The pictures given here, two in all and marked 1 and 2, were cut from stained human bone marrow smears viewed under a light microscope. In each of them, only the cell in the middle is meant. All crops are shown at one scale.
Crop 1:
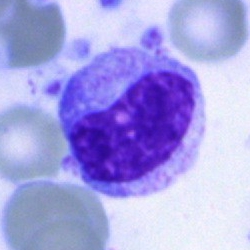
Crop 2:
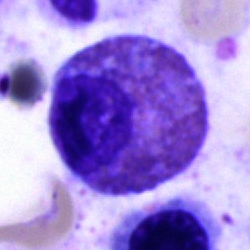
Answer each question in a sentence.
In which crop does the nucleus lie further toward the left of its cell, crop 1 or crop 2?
In crop 2 the nucleus is shifted more toward the left.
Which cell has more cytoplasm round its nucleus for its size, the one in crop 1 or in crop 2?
The nucleus fills less of the cell in crop 2 than in crop 1.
